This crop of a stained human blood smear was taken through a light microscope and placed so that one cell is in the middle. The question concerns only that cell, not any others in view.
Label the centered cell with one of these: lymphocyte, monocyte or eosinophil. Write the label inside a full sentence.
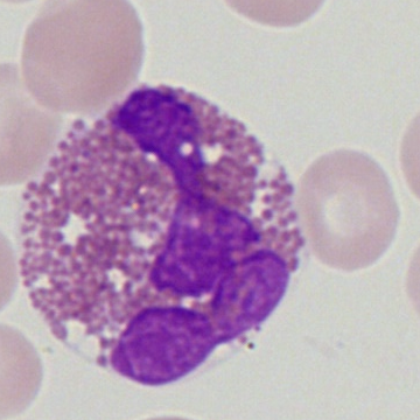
The cell nearest the centre of this crop is an eosinophil.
